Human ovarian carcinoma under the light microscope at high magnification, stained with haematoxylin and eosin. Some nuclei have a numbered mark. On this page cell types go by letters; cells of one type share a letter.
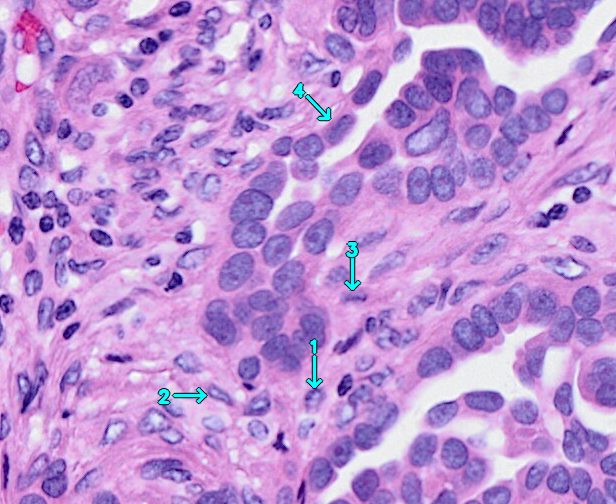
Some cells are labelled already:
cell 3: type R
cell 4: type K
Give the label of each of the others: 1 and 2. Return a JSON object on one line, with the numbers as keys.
{"1": "type R", "2": "type R"}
